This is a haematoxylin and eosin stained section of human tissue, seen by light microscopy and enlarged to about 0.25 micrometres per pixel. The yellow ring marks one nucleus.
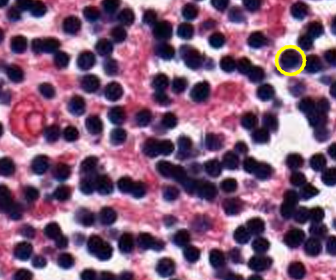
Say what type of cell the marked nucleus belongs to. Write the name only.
cerebellar granule cell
